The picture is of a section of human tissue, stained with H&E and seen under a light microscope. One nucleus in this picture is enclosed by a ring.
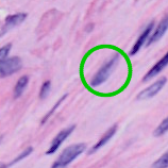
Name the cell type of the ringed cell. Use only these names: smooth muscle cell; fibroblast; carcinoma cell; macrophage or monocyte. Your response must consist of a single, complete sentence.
The classification of the ringed cell is as a smooth muscle cell.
